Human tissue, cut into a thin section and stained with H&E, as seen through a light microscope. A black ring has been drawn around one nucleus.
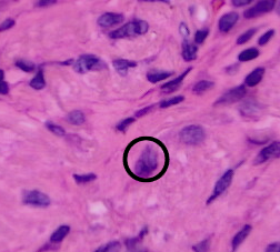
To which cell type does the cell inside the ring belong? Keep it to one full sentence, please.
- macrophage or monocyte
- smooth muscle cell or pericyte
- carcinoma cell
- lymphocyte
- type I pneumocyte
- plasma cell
Speaking plainly, the cell inside the ring is nothing other than a plasma cell.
